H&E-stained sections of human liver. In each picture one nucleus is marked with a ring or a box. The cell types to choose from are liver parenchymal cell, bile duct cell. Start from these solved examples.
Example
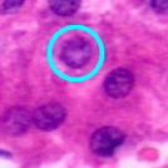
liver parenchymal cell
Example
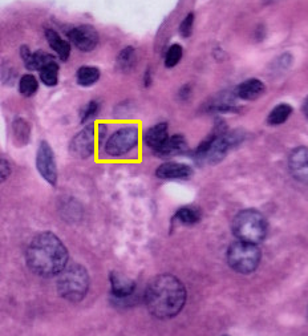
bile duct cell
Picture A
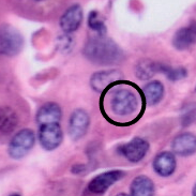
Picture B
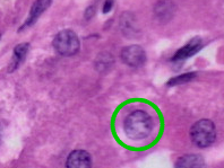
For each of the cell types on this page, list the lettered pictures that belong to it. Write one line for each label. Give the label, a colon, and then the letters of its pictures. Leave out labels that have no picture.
liver parenchymal cell: B
bile duct cell: A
